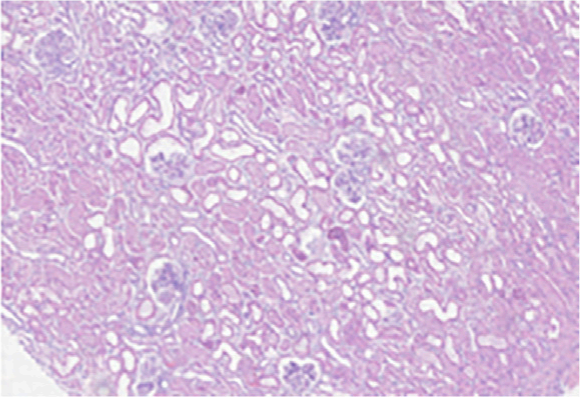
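Kidney cortex with several scattered glomeruli among tubules. Many tubules are dilated, with wide, empty, irregular lumens and a thin, flattened epithelial lining. Other tubules stay narrow, with pink cytoplasm.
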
